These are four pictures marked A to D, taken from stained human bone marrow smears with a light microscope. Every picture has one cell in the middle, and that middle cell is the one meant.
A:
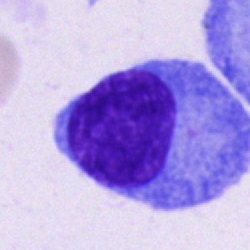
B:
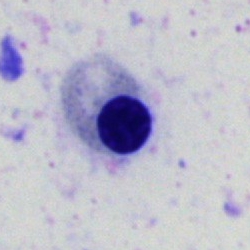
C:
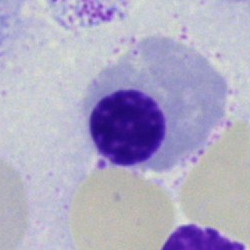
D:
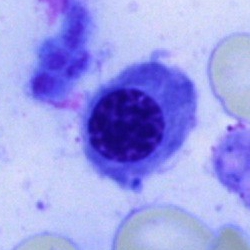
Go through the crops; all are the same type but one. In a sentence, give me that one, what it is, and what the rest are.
There is a plasma cell in crop A, while all the other crops show erythroblasts.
